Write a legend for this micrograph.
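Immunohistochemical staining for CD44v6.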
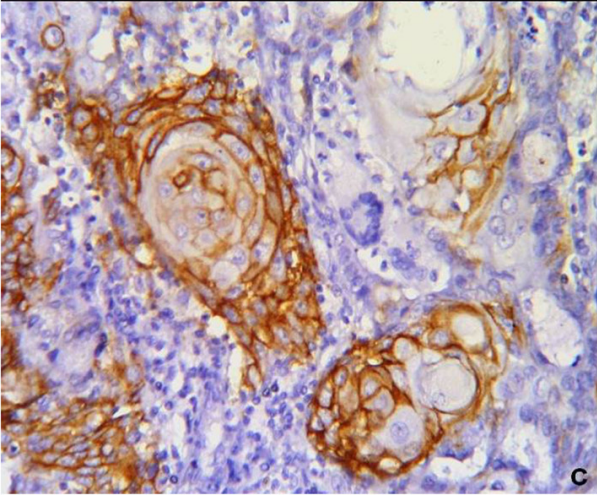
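Nests of squamous differentiation lie within a tumour stroma crowded with small round blue nuclei. The nest cells are large and polygonal, with abundant pale cytoplasm and round to oval blue nuclei. Sharp dark brown lines follow the cell borders, giving the nests a honeycomb pattern, while the cytoplasm stays largely pale. One nest shows cells arranged in concentric layers around a central group, forming a whorl. Some nests contain clear vacuolated cells and spaces. The surrounding stroma and inflammatory-looking small cells remain unstained and blue.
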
